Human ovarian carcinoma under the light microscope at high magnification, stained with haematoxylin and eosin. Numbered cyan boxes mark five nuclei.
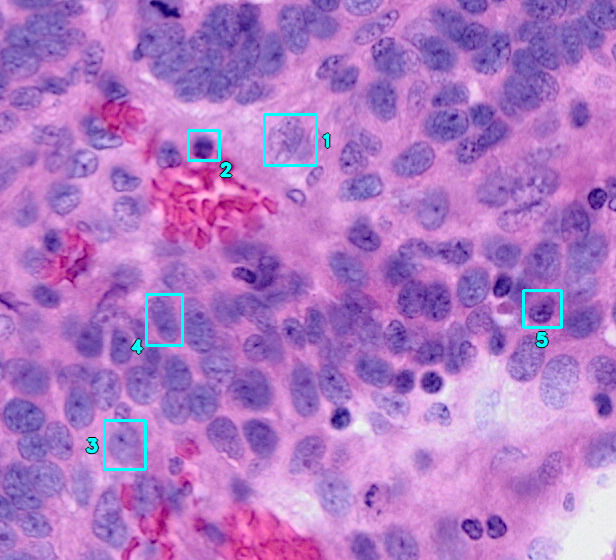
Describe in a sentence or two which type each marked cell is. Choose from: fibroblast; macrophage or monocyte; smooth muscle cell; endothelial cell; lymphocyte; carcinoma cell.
Cells 1 and 3 are fibroblasts. Cell 2 is a lymphocyte. Cell 4 is a carcinoma cell. Cell 5 is a macrophage or monocyte.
